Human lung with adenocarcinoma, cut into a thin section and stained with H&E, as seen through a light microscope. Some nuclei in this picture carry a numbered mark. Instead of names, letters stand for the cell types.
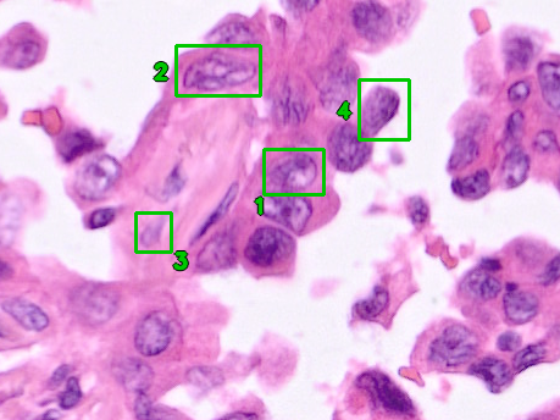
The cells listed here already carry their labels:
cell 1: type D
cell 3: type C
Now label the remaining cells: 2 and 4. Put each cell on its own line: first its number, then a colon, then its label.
2: type D
4: type D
